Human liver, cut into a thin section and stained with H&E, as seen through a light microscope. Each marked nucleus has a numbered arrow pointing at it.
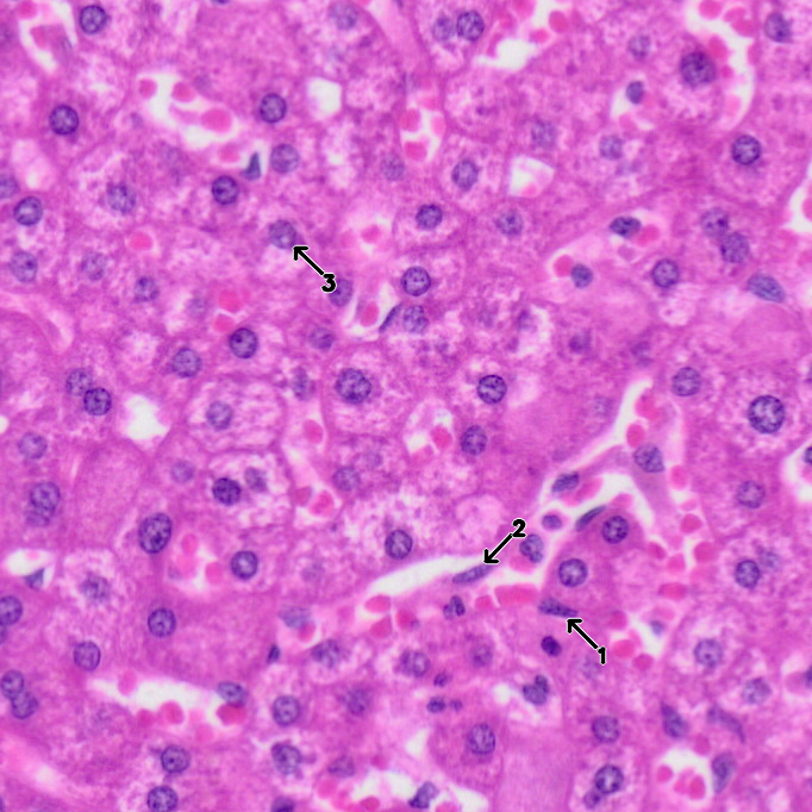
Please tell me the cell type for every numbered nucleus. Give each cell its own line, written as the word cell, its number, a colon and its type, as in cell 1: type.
cell 1: fibroblast or stellate cell
cell 2: Kupffer cell
cell 3: hepatocyte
